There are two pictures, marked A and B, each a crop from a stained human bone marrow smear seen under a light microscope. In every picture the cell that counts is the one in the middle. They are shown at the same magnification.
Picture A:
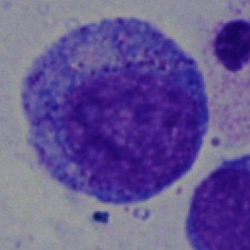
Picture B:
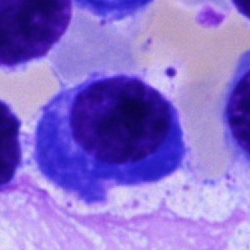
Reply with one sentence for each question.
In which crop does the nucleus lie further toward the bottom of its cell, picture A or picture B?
The nucleus in picture A lies further toward the bottom of its cell.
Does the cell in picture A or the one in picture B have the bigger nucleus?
It is the nucleus in picture A, about 2 times as large in area as the one in picture B.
